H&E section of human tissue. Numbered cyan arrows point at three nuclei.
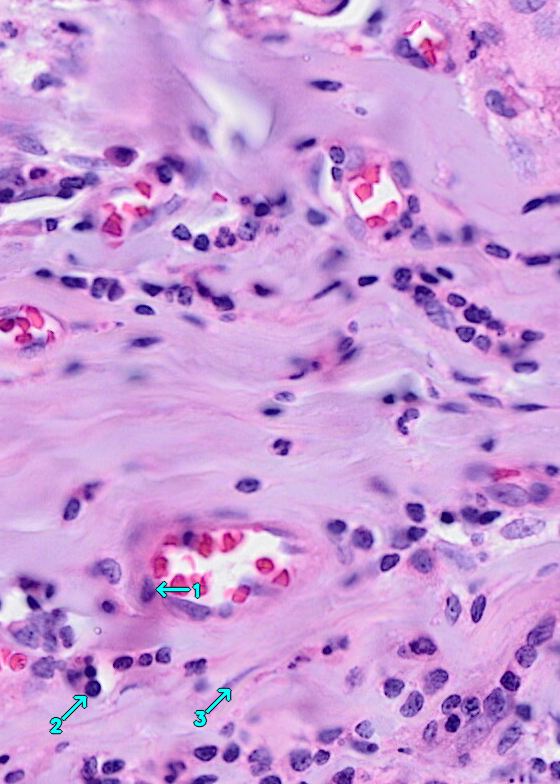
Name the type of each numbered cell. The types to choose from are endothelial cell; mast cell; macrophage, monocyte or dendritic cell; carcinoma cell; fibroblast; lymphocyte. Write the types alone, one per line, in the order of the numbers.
endothelial cell
lymphocyte
fibroblast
